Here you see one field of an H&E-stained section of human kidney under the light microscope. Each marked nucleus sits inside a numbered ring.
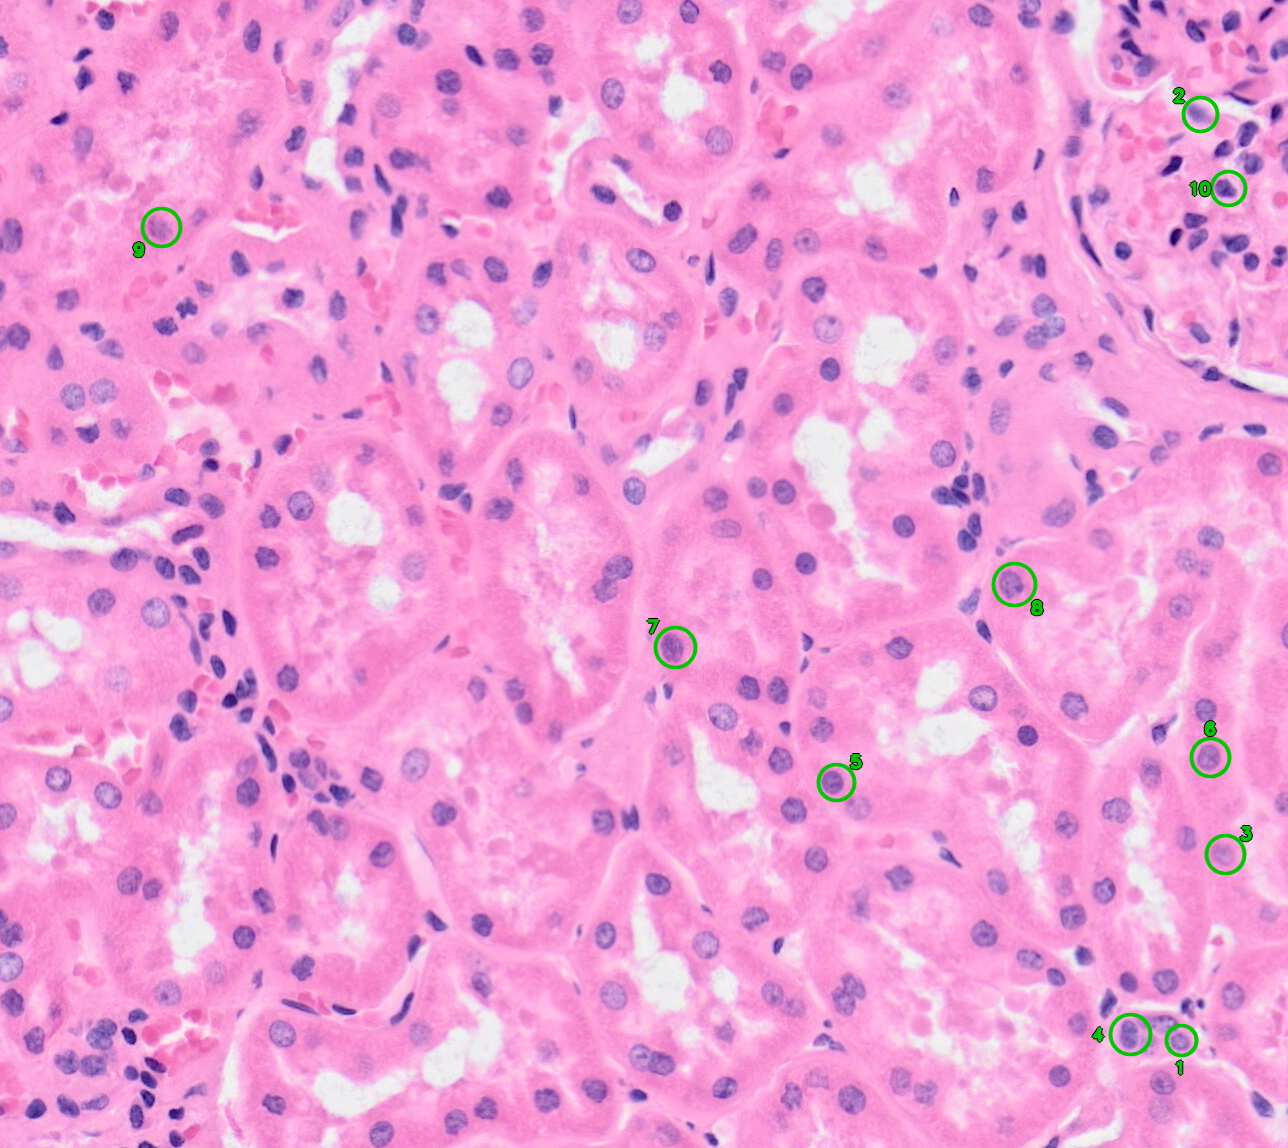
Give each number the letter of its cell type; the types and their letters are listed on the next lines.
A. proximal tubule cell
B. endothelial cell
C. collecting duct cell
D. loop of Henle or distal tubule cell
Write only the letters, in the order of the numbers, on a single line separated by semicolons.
C; B; A; C; A; A; A; A; A; B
